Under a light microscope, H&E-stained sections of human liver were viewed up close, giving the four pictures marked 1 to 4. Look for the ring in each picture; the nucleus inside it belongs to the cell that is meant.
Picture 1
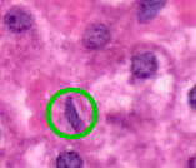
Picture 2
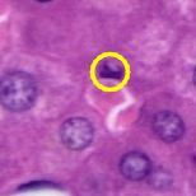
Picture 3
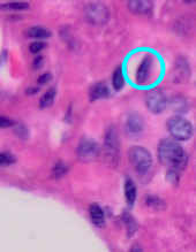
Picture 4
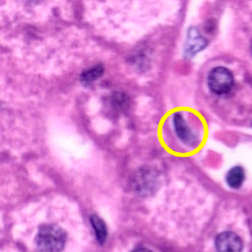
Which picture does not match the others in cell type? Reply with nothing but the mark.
4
